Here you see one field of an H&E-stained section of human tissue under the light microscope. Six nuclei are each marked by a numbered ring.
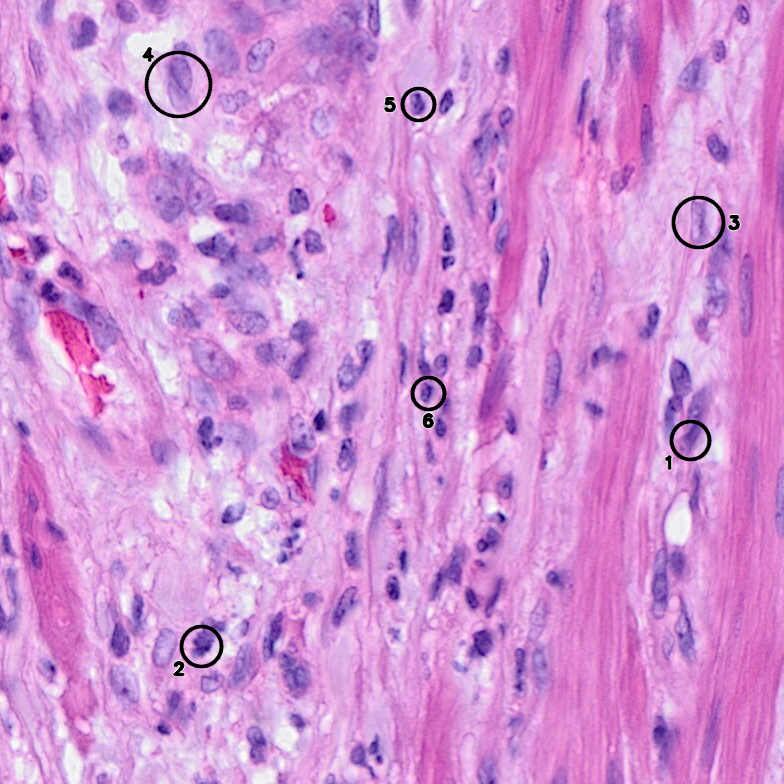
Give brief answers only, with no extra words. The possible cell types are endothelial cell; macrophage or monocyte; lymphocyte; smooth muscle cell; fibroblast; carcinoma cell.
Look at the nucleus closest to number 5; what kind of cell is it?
lymphocyte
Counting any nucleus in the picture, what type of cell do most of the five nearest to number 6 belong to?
macrophage or monocyte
